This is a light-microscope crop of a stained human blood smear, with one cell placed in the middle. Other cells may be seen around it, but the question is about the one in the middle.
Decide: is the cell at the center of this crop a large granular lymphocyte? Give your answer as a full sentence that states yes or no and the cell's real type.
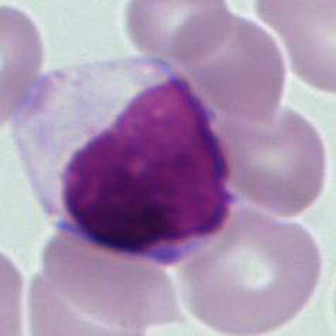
Yes, the centre of the crop holds a large granular lymphocyte.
